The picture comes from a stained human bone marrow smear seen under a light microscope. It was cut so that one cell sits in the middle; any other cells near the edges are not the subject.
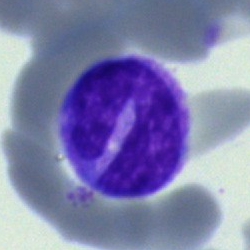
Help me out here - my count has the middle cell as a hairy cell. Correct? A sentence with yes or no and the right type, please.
No, the cell at the center of this crop is a monocyte instead of a hairy cell.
